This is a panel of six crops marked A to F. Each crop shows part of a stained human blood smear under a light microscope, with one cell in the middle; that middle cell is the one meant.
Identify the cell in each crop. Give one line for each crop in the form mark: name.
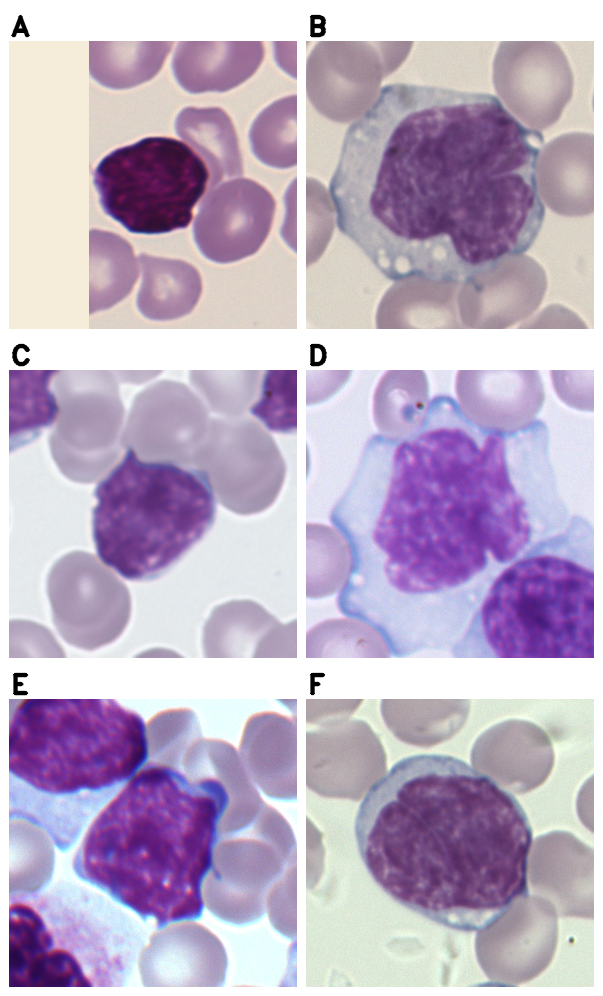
A: myeloblast
B: myeloblast
C: typical lymphocyte
D: myeloblast
E: typical lymphocyte
F: myeloblast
